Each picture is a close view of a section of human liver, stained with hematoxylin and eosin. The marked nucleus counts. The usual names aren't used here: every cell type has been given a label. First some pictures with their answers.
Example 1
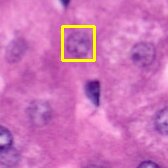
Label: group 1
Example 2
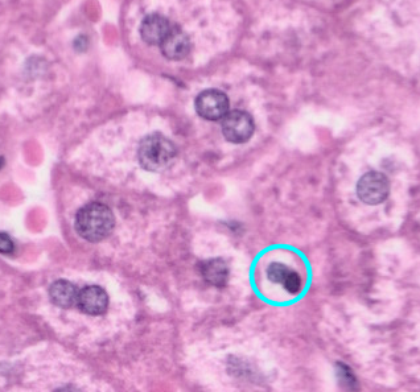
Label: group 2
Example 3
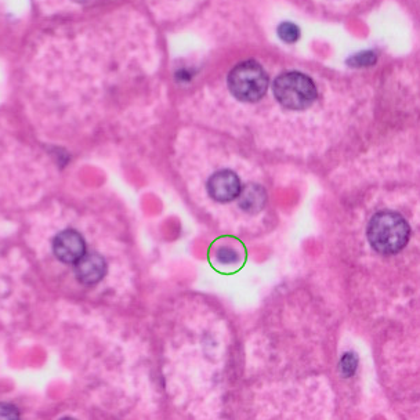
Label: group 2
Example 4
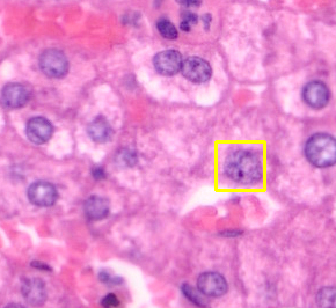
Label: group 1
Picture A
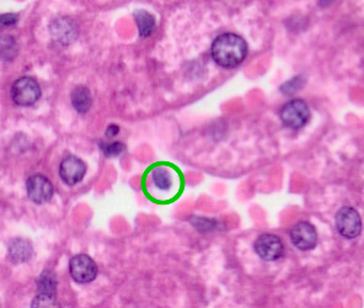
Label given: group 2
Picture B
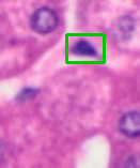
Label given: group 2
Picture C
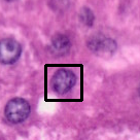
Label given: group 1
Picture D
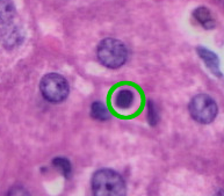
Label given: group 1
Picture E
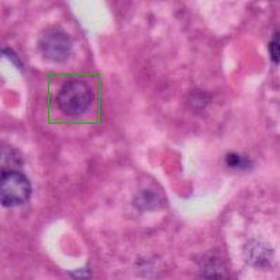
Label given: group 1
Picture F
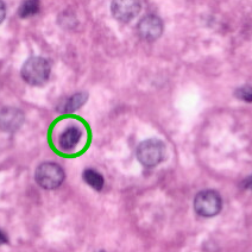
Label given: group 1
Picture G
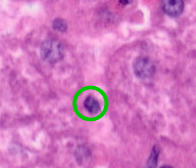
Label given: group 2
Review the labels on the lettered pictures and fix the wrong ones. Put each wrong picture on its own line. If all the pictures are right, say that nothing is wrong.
Wrong: D (group 1); correct: group 2
Wrong: F (group 1); correct: group 2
